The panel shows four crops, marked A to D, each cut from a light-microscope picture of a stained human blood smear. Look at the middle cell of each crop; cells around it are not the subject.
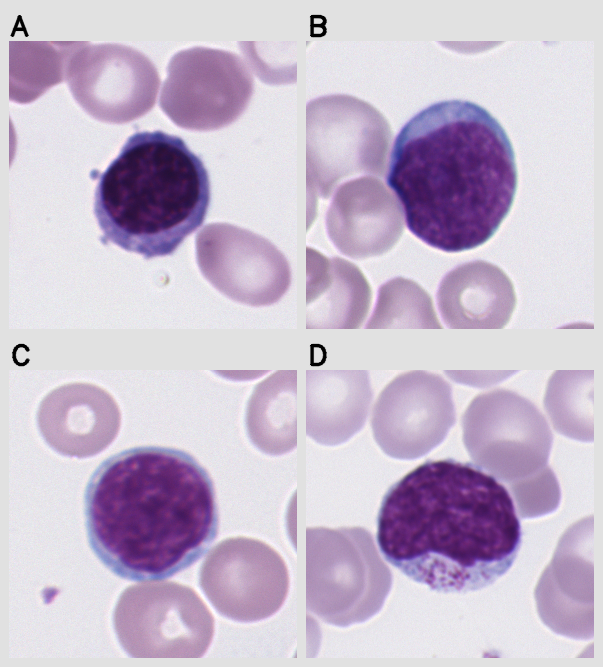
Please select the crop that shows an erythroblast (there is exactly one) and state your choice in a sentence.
Of the cells presented, the one in crop A is an erythroblast.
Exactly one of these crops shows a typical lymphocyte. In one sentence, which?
Crop C is the single crop that shows a typical lymphocyte.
